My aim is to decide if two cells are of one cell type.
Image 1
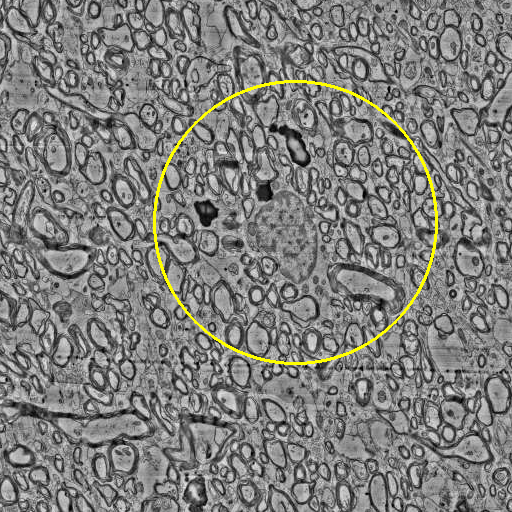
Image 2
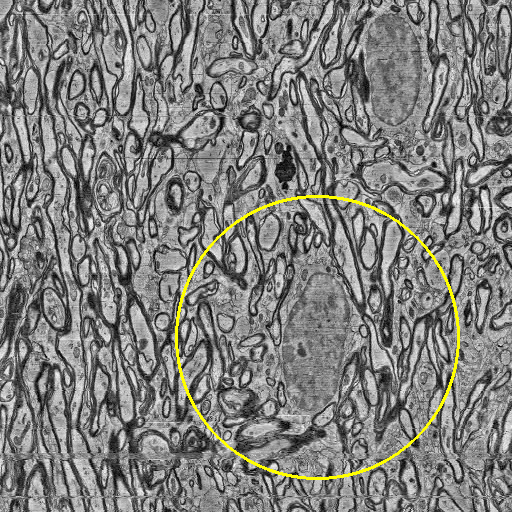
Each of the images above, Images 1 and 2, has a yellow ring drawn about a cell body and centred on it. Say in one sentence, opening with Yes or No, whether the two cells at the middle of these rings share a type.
Yes, in Images 1 and 2 the cells at the middle of the rings share one type.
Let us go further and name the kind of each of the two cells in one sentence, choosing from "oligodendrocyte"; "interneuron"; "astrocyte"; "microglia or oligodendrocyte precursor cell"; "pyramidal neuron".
Each cell, in the first picture and the second, is an oligodendrocyte.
